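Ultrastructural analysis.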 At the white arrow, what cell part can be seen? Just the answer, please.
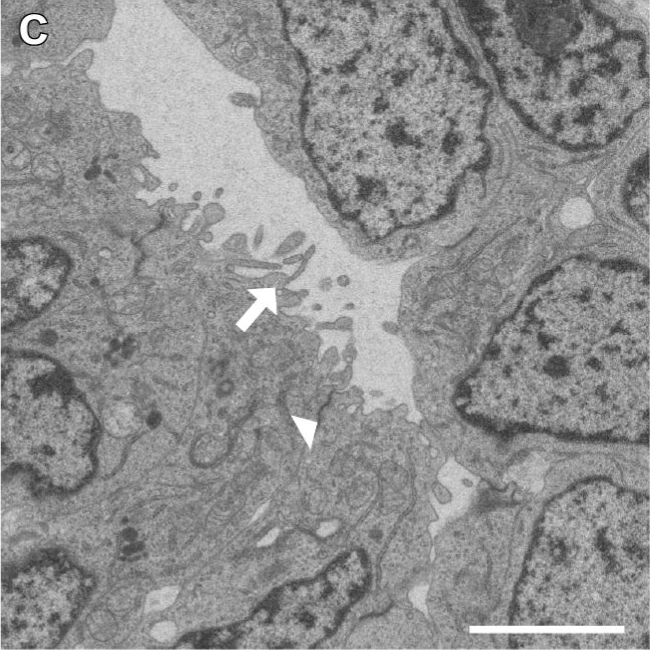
Protrusions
